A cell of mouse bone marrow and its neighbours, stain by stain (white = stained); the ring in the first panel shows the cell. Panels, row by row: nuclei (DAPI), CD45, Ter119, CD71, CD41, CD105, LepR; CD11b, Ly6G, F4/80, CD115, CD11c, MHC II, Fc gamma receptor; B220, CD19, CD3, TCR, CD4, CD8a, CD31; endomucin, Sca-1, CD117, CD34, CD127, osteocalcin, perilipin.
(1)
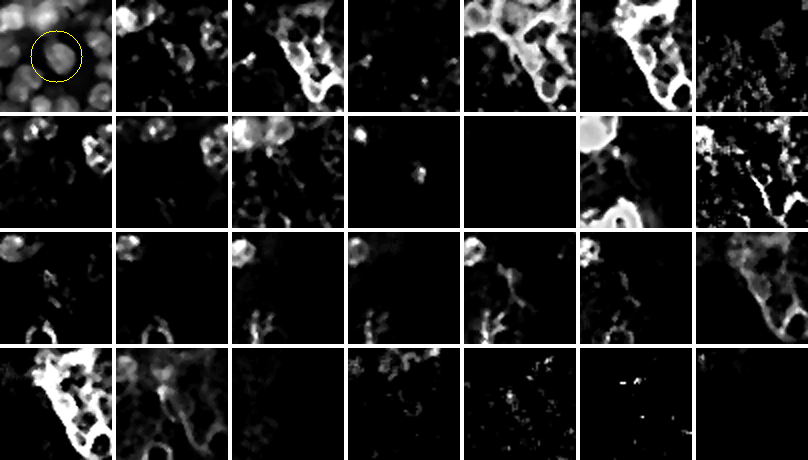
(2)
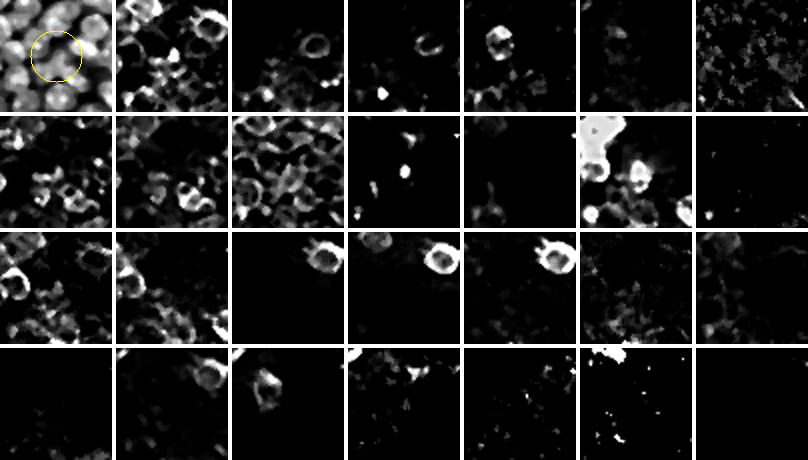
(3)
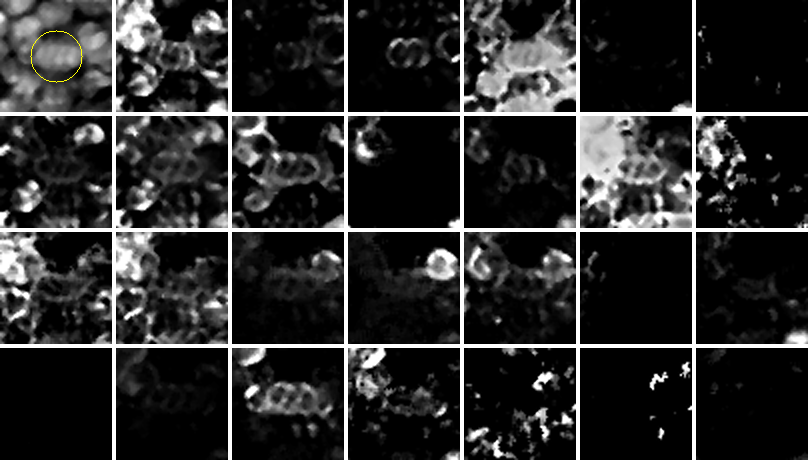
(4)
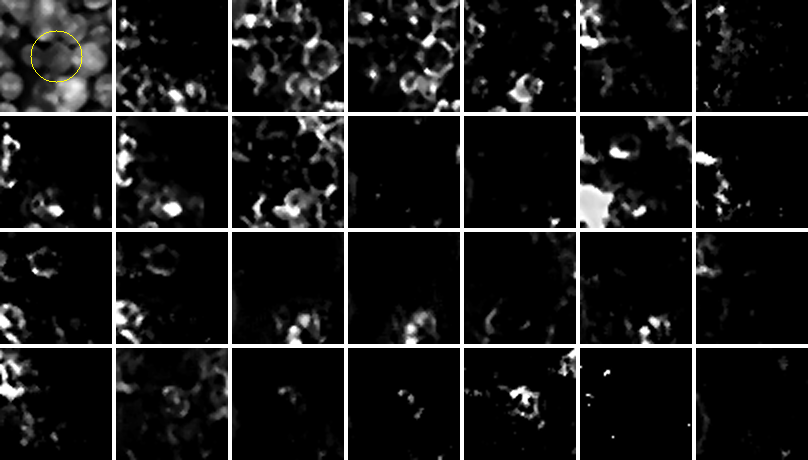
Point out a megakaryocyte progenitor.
That is picture 3.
